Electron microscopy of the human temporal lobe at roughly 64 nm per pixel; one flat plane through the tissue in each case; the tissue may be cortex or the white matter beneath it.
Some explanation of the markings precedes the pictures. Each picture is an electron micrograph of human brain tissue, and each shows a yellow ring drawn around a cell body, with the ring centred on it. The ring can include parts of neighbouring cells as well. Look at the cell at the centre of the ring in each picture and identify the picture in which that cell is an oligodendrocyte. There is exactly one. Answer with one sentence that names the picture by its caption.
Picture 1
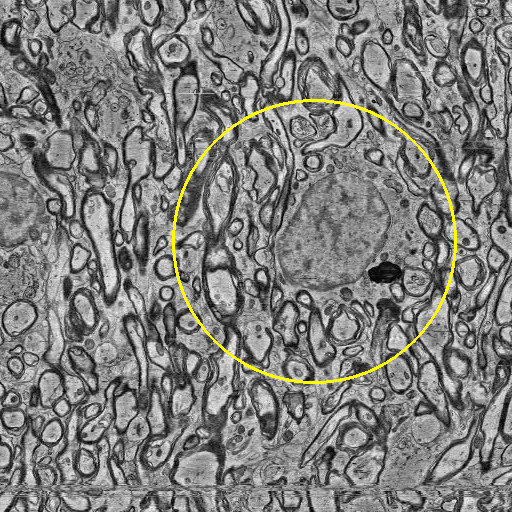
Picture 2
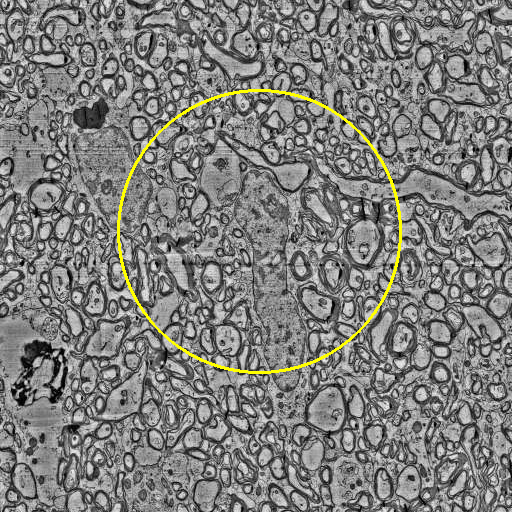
In Picture 1, the cell at the centre of the ring is of that kind.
